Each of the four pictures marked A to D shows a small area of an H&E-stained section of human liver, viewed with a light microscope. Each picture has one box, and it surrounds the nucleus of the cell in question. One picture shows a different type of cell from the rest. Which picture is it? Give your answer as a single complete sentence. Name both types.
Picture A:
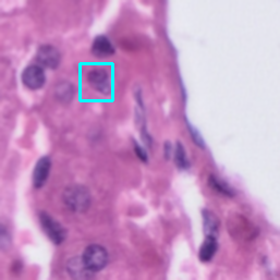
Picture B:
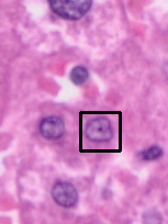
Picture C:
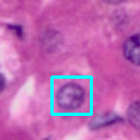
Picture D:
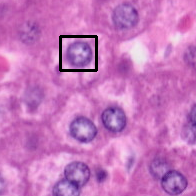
The different one is picture A; it shows a “fibroblast or stellate cell”, whereas all the others show hepatocytes.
